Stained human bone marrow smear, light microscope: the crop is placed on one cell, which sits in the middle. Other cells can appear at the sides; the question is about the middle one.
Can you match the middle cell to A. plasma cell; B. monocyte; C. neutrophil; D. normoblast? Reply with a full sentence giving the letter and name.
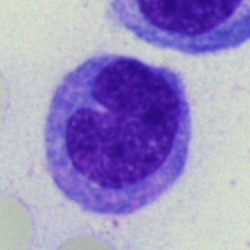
It is a monocyte that occupies the centre of the crop, so option B is correct.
